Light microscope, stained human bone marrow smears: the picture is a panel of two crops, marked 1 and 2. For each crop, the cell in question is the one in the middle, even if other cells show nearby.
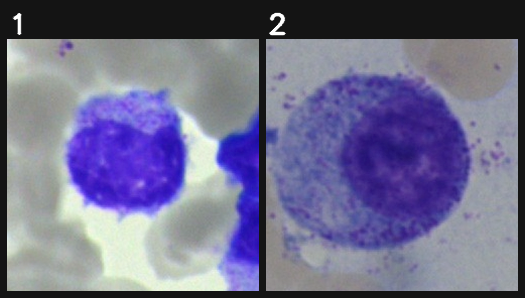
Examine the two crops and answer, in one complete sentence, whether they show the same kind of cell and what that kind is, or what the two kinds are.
Yes, the first and the second crop both show myelocytes.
